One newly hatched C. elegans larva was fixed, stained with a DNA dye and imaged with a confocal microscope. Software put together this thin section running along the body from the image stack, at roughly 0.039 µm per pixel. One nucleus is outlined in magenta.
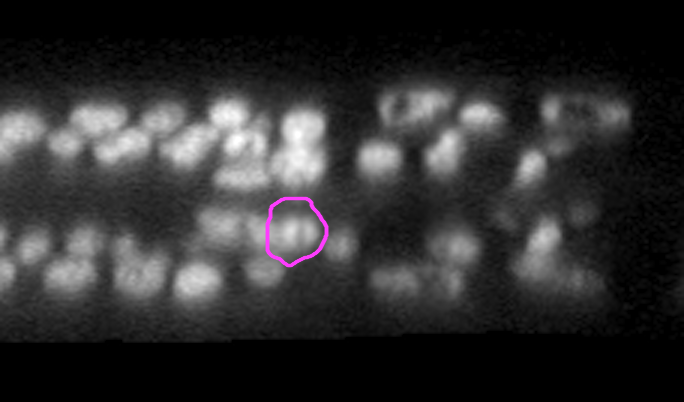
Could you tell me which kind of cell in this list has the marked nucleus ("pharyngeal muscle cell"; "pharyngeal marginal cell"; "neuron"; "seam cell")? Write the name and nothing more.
pharyngeal muscle cell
